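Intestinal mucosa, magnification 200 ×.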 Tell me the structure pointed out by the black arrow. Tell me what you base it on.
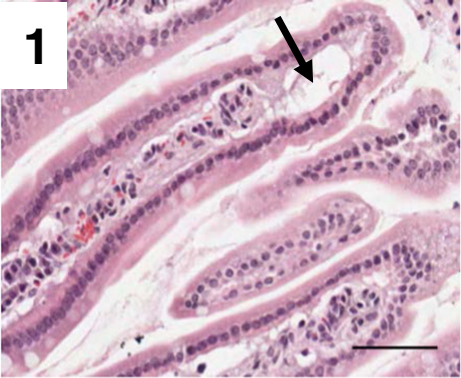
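Subepithelial Gruenhagen’s space. The arrow points to a clear empty gap near the tip of a villus. The gap lies between the epithelial layer and the connective-tissue core.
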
